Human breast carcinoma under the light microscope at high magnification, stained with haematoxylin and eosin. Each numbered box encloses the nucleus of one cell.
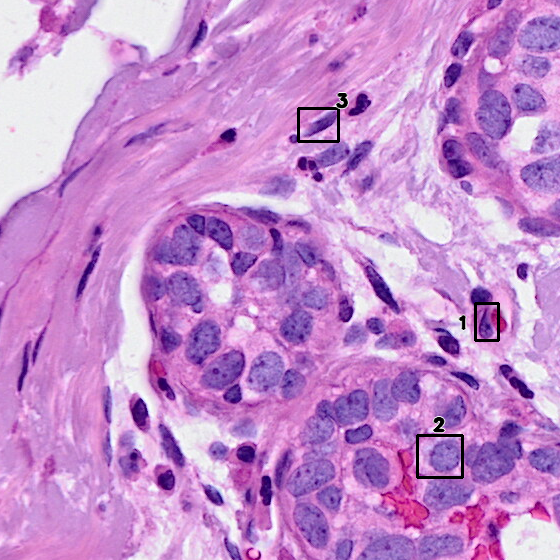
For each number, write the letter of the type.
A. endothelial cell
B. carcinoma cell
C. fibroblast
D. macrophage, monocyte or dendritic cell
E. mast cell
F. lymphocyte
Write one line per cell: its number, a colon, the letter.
1: A
2: B
3: C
